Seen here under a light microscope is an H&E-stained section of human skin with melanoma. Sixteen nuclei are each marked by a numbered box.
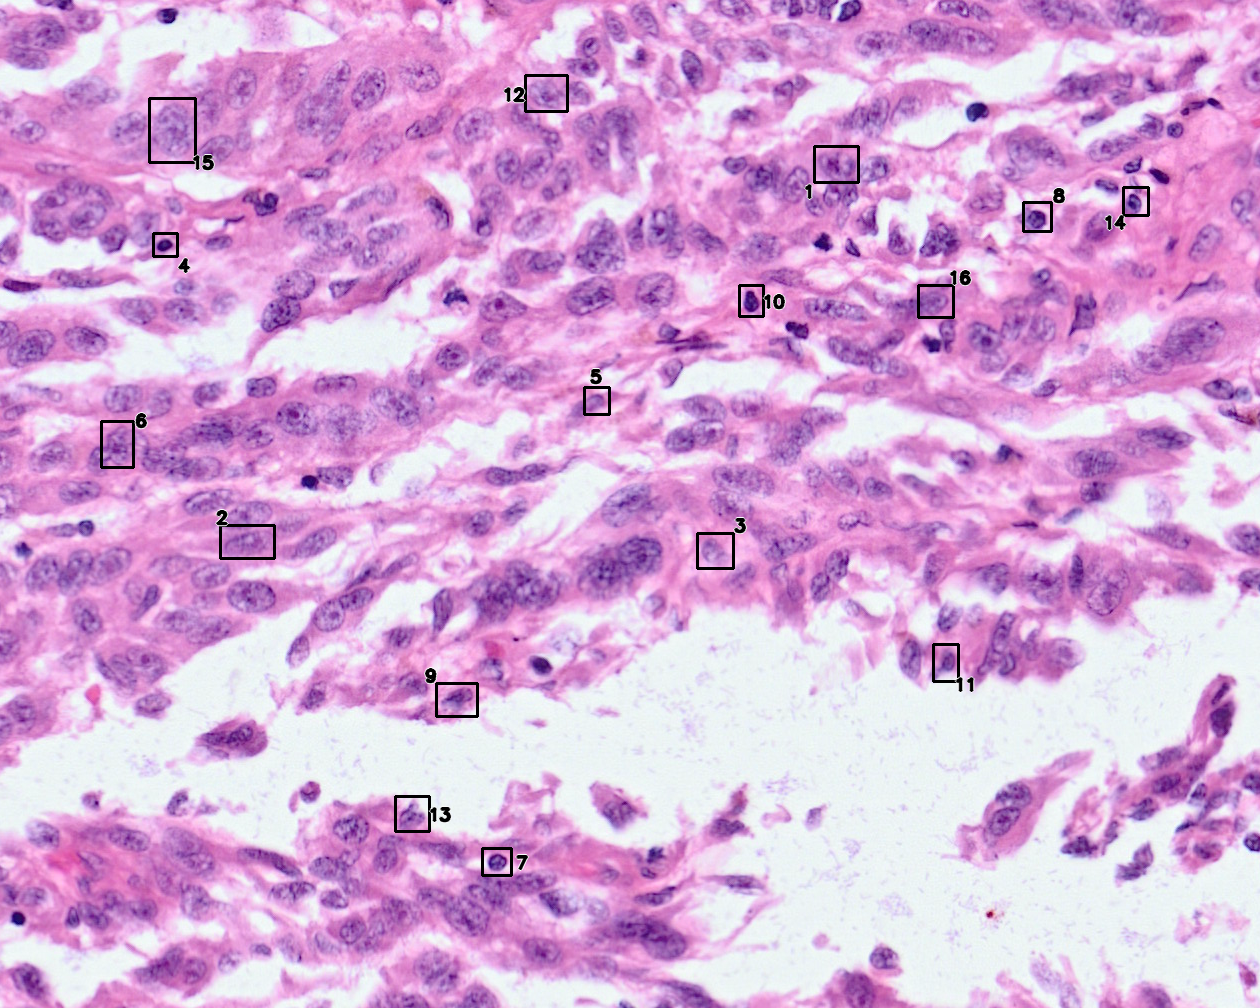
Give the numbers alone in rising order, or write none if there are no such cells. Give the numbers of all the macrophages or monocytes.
5, 9, 11, 13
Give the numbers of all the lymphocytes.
4, 7, 8, 10, 14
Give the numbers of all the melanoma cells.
1, 2, 6, 12, 15, 16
